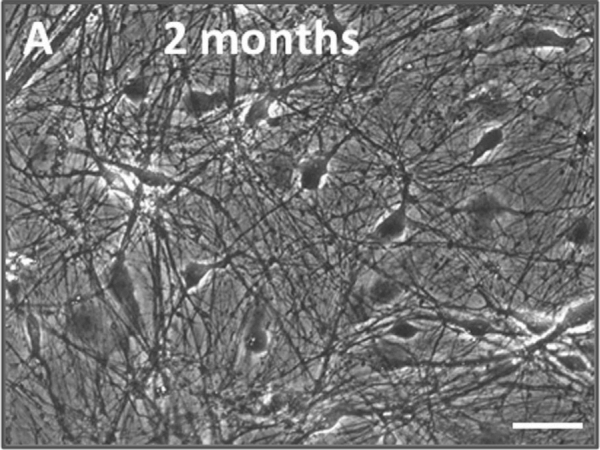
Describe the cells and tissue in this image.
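This is a dense culture of neurons, pyramidal and multipolar in shape, seen in phase contrast. Their cell bodies are bright-rimmed, triangular to polygonal, and scattered across the field at different depths. From them run many long, thin, dark processes that branch and cross one another into a tight meshwork covering the whole field.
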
